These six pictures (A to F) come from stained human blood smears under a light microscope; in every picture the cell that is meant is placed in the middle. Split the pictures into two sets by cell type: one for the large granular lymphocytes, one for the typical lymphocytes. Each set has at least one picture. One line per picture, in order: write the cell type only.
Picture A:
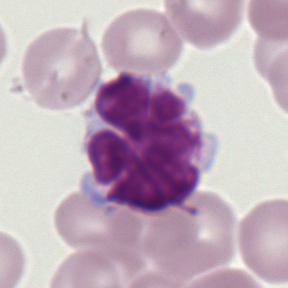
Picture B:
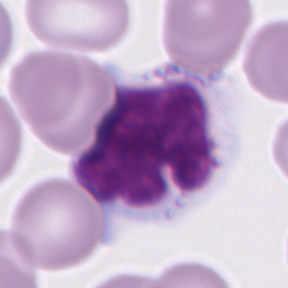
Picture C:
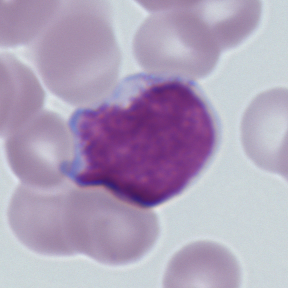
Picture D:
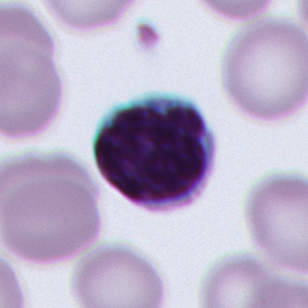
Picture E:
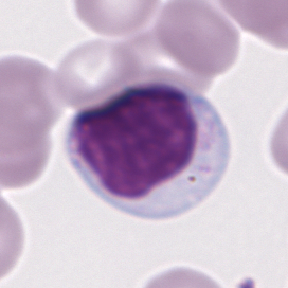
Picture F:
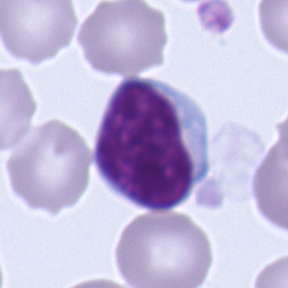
large granular lymphocyte
large granular lymphocyte
large granular lymphocyte
typical lymphocyte
large granular lymphocyte
typical lymphocyte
